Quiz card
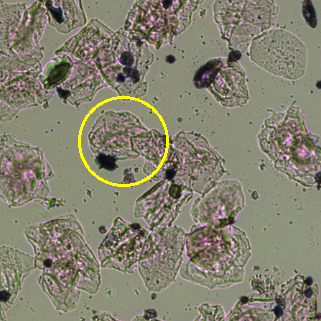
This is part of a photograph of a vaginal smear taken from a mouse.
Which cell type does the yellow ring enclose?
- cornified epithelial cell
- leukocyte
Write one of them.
cornified epithelial cell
